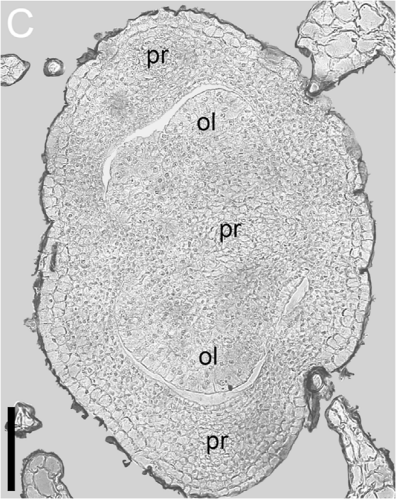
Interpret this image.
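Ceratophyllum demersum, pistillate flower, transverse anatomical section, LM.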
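This is a cross section through the bilocular part of a gynoecium, a large oval body built of many small, closely packed, roughly polygonal cells. Inside it lie two separate elongated cavities, one in the upper half and one in the lower half, each outlined by a clear gap. Between and around the cavities the tissue is continuous, with the cells a little smaller and denser toward the middle. Fragments of other tissue lie outside the body at the corners of the field.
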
